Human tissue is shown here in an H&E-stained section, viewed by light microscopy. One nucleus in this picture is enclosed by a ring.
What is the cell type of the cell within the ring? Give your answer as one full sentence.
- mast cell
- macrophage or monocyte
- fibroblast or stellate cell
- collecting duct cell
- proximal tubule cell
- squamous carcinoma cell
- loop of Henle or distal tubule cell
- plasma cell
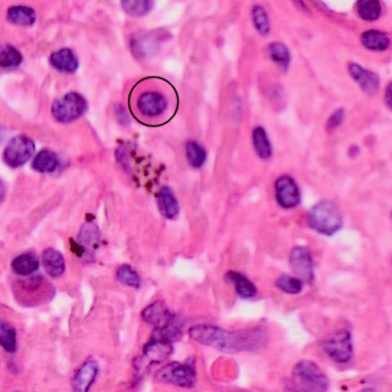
The identity of the cell within the ring: it is a mast cell.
